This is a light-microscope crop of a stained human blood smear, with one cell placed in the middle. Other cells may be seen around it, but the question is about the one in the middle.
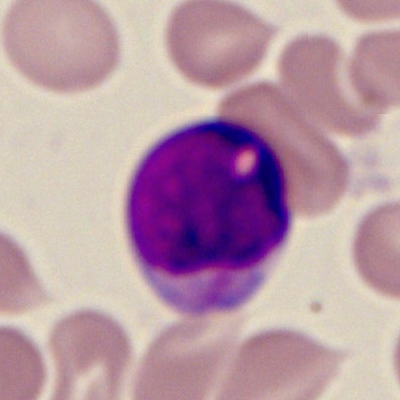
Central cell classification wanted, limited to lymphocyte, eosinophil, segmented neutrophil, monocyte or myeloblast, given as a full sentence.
The central cell in this smear crop is a myeloblast.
